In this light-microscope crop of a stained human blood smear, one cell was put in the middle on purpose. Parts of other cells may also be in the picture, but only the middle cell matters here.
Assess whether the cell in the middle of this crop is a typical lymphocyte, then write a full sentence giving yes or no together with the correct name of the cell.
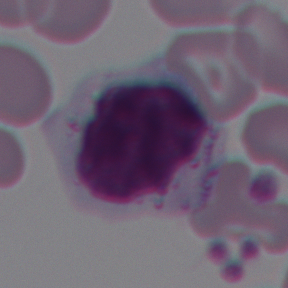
No, the cell of interest here is a large granular lymphocyte and not a typical lymphocyte.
